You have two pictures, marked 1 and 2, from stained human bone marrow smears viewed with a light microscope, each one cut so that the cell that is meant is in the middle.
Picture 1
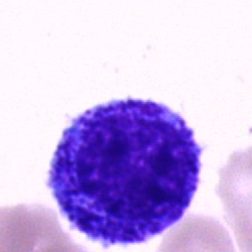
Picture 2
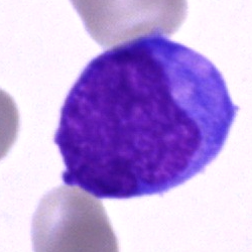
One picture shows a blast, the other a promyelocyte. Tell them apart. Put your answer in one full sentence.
The cell in picture 1 is a promyelocyte, and the one in picture 2 is a blast.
